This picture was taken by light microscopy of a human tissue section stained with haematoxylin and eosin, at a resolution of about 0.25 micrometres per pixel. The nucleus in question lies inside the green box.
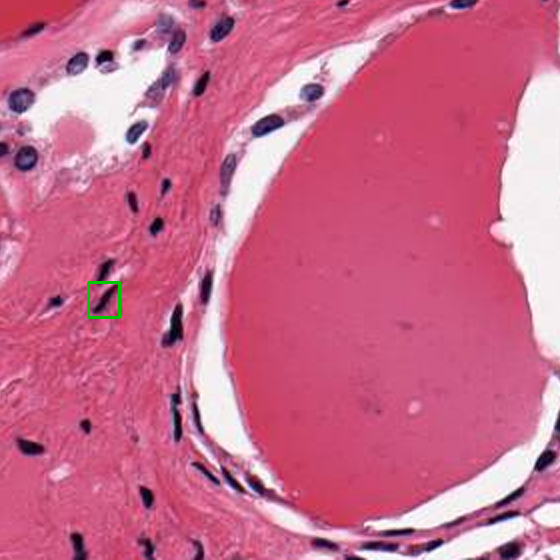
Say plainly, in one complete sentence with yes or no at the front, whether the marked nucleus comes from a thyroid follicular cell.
No, the marked nucleus belongs to a supporting cell of connective tissue, a vessel or the immune system, not to a thyroid follicular cell.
